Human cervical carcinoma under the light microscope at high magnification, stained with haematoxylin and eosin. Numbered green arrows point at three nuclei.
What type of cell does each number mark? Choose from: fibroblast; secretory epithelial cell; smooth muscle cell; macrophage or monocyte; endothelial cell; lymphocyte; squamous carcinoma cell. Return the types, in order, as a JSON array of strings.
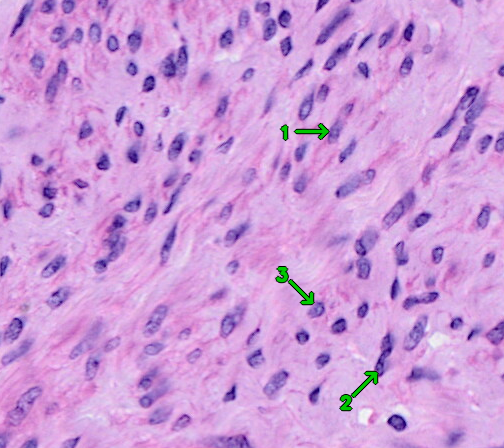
["smooth muscle cell", "fibroblast", "smooth muscle cell"]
